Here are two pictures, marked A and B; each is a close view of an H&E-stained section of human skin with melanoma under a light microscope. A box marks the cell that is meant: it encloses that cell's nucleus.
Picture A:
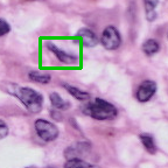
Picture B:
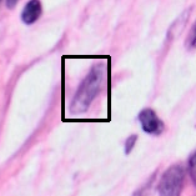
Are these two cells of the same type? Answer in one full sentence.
Yes; the cells in both pictures are “fibroblasts or myofibroblasts”.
